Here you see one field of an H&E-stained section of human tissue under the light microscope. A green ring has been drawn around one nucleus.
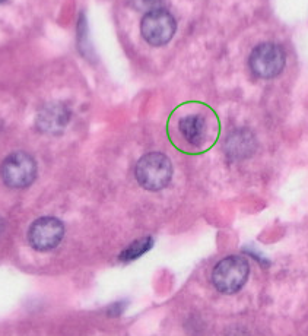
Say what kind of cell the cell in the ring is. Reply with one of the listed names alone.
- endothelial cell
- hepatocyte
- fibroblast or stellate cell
fibroblast or stellate cell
